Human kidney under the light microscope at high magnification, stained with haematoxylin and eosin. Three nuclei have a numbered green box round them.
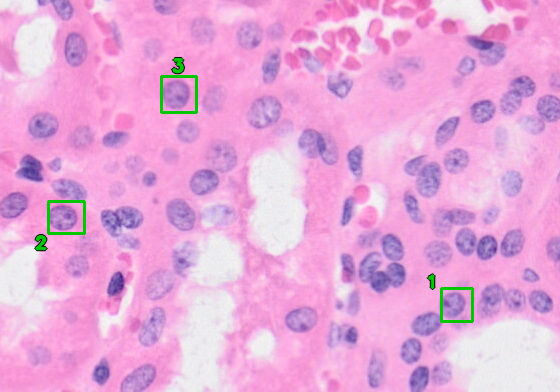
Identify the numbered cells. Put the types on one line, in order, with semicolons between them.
collecting duct cell; proximal tubule cell; proximal tubule cell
